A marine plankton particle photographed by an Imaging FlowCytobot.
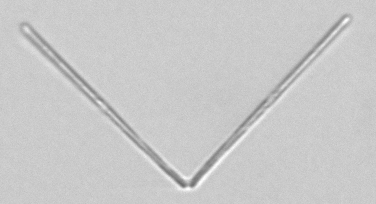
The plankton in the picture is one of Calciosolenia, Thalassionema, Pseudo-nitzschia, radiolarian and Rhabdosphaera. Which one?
Thalassionema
